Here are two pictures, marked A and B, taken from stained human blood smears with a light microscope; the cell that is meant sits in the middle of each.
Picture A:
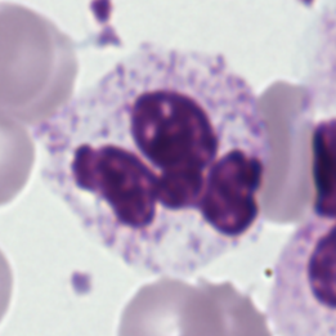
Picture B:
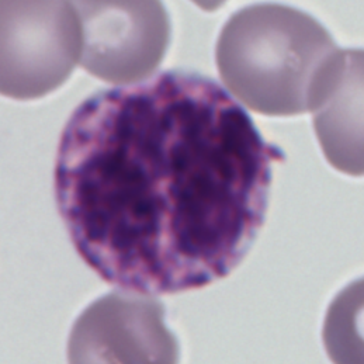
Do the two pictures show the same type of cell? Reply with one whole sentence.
No, they differ: the cell is a segmented neutrophil in picture A and a basophil in picture B.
